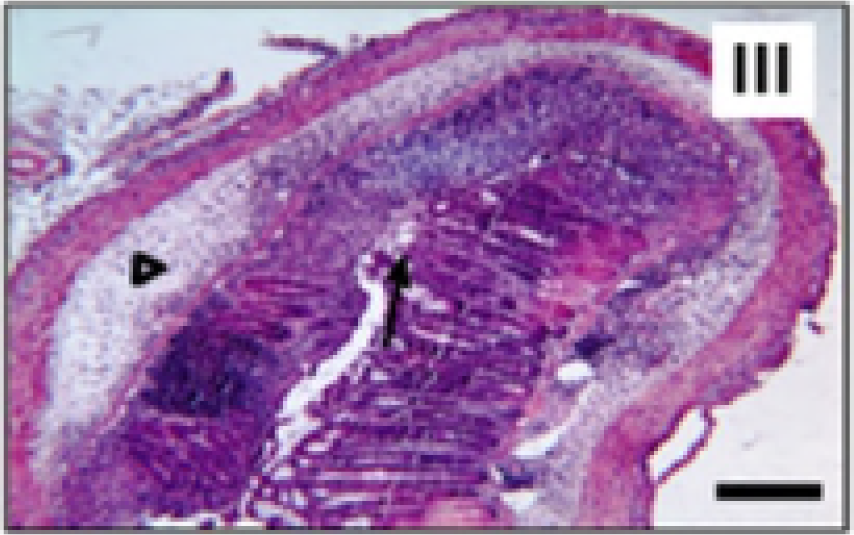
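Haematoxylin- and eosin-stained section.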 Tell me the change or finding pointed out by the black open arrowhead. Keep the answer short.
submucosal oedema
